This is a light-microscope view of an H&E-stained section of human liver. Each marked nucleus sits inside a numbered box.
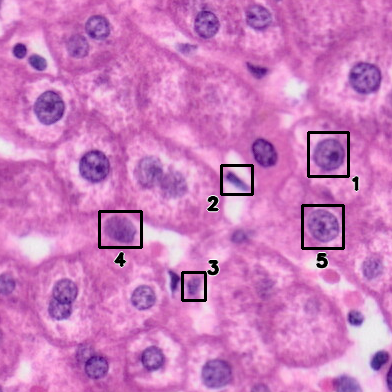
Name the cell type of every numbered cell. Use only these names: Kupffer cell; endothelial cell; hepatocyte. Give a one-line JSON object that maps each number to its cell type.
{"1": "hepatocyte", "2": "endothelial cell", "3": "Kupffer cell", "4": "endothelial cell", "5": "hepatocyte"}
